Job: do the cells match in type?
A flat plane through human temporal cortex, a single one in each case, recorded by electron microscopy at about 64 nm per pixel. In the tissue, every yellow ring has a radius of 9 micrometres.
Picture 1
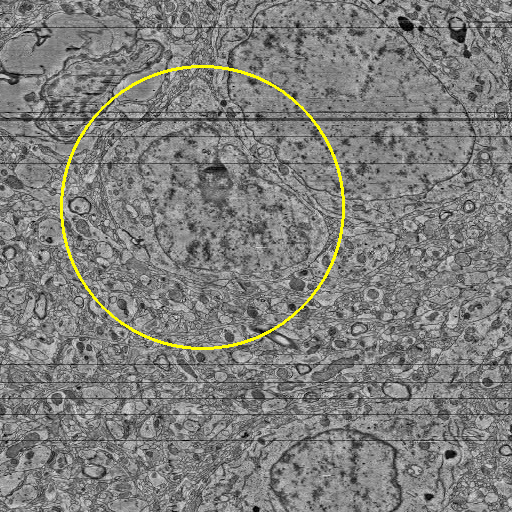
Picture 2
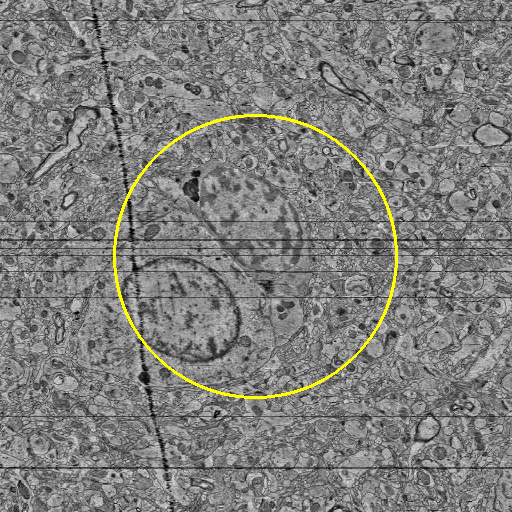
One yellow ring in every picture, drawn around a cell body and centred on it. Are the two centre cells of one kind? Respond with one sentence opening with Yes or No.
No, the ringed cells in the two pictures are of two separate kinds.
